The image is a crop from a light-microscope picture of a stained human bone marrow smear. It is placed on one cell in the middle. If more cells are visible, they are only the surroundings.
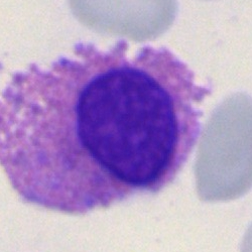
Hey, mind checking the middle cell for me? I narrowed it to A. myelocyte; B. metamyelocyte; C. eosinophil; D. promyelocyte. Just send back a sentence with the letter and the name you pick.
Option C is correct in that the central cell is an eosinophil.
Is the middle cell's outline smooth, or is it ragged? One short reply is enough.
As for its outline, the cell is irregular, ragged or drawn into projections.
